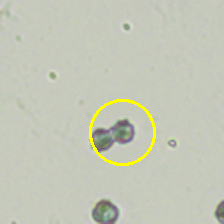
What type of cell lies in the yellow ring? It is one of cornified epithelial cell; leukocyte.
The ringed cell is a leukocyte.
